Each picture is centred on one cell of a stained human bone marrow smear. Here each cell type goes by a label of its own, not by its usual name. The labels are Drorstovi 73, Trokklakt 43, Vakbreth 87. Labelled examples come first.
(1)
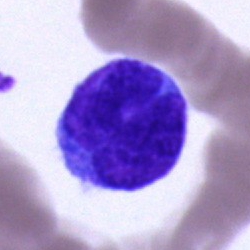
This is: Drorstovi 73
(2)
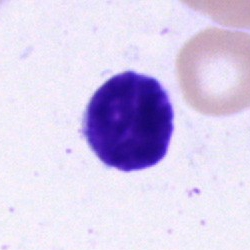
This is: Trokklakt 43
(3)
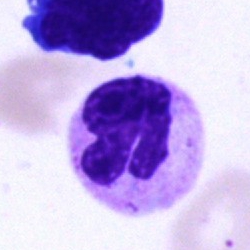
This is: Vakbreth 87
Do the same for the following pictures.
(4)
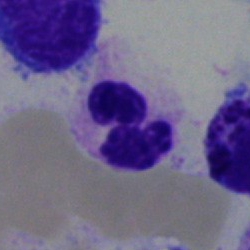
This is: Vakbreth 87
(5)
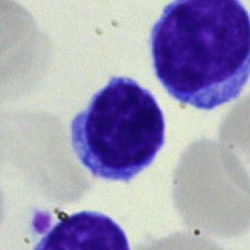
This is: Trokklakt 43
